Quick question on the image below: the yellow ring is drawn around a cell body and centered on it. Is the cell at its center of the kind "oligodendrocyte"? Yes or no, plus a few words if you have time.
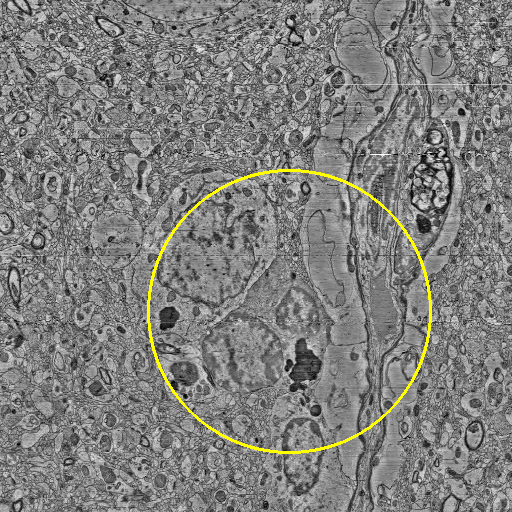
Yes, the cell at the center is of that kind.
